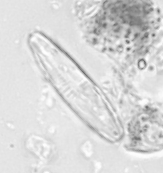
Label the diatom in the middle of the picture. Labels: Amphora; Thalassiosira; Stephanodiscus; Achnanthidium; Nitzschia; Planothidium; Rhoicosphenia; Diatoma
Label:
Achnanthidium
